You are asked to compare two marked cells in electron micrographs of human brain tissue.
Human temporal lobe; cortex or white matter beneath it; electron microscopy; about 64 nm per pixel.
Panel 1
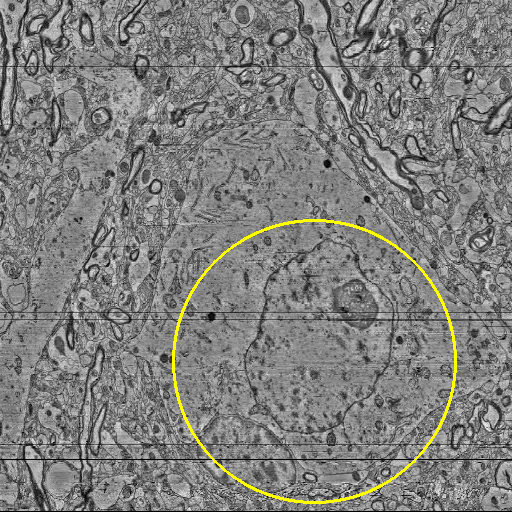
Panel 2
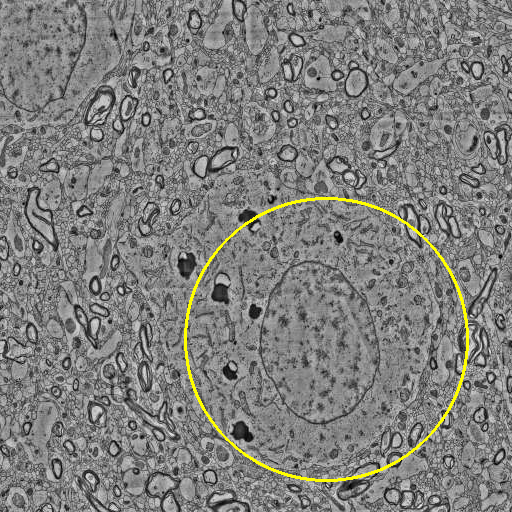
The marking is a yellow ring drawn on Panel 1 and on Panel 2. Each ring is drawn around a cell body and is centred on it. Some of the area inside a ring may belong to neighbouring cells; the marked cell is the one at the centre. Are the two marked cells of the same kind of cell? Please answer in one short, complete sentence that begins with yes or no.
Yes, the two marked cells are of the same kind.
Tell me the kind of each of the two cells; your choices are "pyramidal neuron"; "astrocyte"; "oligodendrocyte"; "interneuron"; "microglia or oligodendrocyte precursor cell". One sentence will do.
In the first picture and in the second, the ring is centred on a pyramidal neuron.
